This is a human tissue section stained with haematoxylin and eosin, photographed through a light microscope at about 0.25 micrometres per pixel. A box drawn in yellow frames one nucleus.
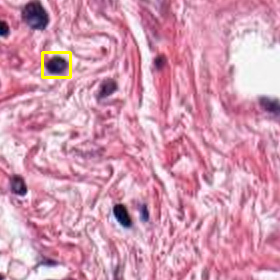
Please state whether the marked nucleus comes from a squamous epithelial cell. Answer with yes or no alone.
no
